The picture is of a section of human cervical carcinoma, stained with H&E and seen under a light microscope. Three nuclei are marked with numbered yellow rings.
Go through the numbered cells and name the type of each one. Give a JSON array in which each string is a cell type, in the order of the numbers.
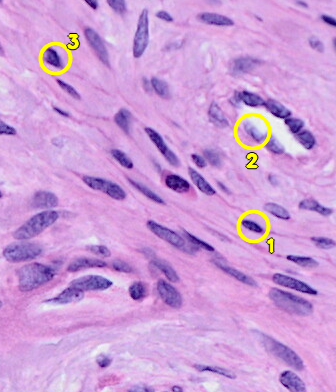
["fibroblast", "endothelial cell", "fibroblast"]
